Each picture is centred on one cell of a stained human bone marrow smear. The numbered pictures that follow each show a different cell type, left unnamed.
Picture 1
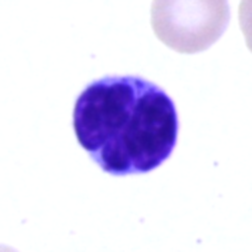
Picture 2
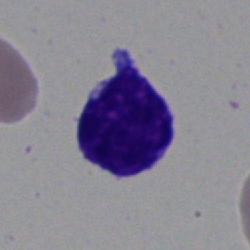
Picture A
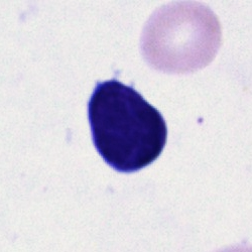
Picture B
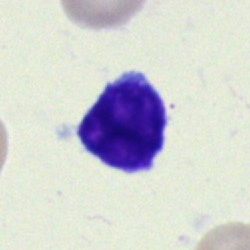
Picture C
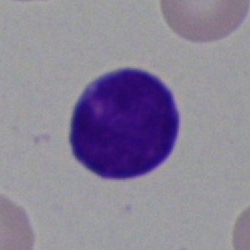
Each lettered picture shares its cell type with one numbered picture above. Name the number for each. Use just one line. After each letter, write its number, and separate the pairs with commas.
A 1, B 1, C 2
